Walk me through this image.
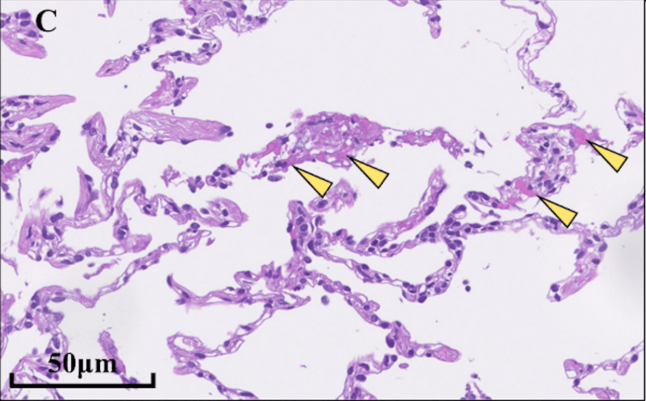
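Here we see alveolar septa of the lung, lined by cells with dark purple nuclei, with hyaline membranes and fibrin deposits on them. The septa are thin pink strands that run across the field and border wide, clear air spaces. Along some wall surfaces, where the yellow arrowheads point, sits a bright, homogeneous pink material without nuclei of its own. This glassy pink layer hugs the surface of the wall rather than lying inside it. No compact nests of rounded, pale cells forming a nodule are seen in this field.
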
